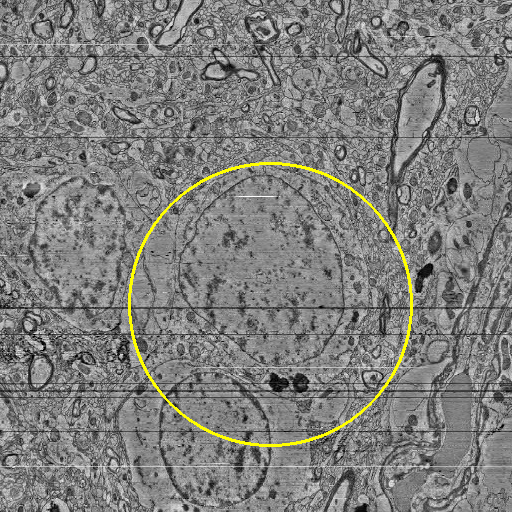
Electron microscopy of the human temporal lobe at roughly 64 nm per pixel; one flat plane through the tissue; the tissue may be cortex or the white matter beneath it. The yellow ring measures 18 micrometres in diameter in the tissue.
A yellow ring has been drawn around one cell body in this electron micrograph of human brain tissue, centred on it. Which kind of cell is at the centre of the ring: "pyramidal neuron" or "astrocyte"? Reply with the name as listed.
pyramidal neuron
